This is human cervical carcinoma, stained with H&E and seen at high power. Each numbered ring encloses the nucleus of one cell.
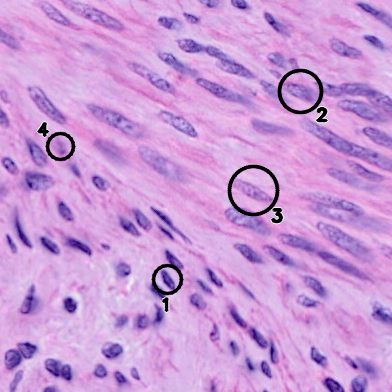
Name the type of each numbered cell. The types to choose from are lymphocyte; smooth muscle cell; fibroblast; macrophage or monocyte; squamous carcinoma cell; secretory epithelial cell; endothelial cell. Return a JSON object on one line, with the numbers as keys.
{"1": "fibroblast", "2": "smooth muscle cell", "3": "smooth muscle cell", "4": "smooth muscle cell"}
